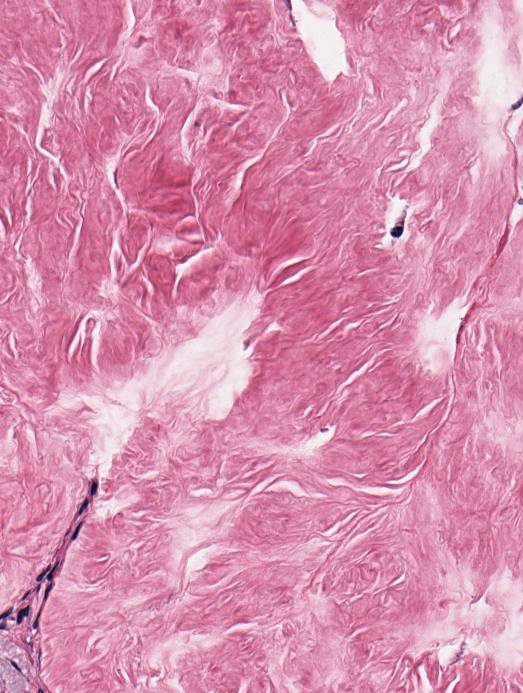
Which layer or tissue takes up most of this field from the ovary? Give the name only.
corpus albicans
